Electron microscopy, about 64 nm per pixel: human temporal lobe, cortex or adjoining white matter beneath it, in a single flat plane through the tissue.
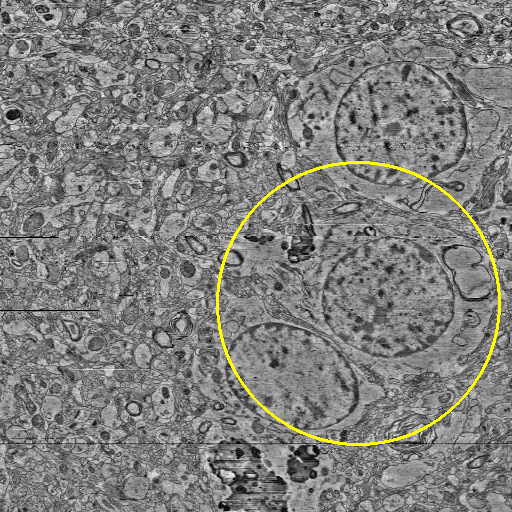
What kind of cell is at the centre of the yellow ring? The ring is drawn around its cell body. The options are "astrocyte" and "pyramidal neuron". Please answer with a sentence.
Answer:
The yellow ring marks the cell body of an astrocyte.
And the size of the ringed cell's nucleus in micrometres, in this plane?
About 8 micrometres across in this plane, for the nucleus.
